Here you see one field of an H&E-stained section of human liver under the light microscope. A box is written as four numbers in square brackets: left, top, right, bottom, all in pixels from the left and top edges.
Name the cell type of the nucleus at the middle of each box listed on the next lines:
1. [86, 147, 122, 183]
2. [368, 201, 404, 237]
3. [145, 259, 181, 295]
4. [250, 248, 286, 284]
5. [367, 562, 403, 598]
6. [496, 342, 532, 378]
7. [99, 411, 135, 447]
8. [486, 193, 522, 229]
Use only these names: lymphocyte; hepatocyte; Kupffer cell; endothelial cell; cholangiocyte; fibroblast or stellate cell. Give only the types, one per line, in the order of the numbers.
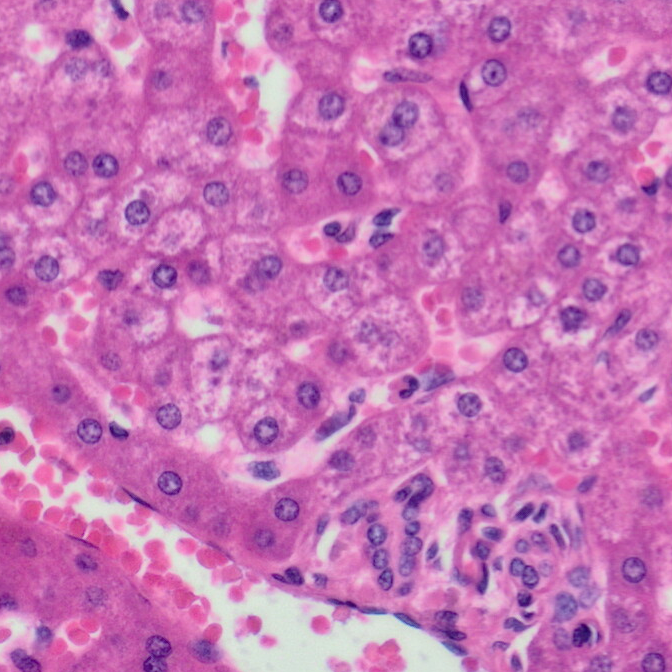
hepatocyte
lymphocyte
hepatocyte
hepatocyte
cholangiocyte
hepatocyte
fibroblast or stellate cell
fibroblast or stellate cell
